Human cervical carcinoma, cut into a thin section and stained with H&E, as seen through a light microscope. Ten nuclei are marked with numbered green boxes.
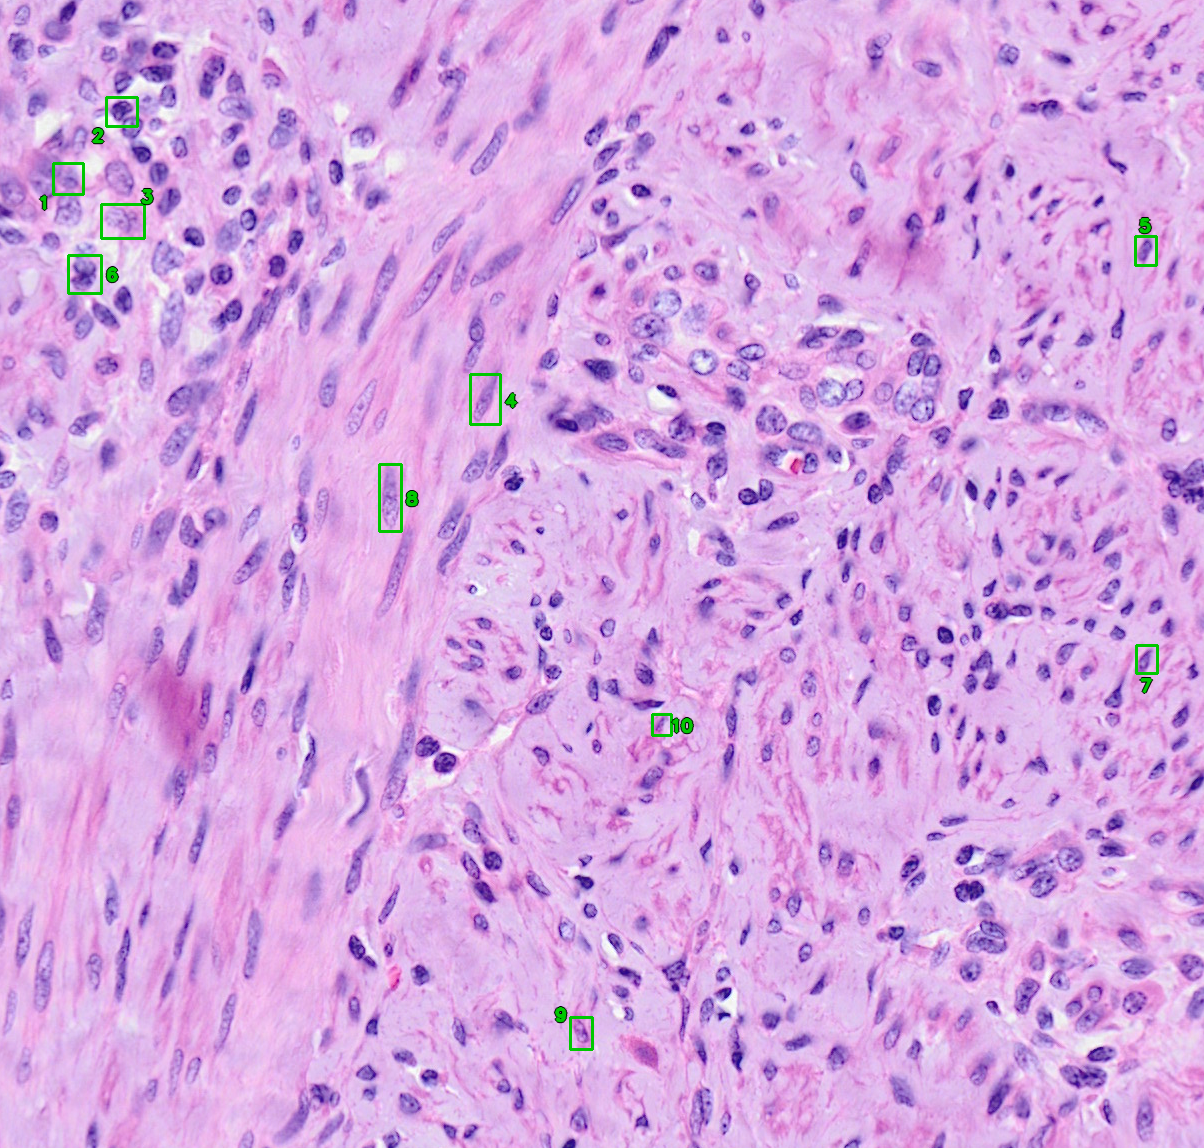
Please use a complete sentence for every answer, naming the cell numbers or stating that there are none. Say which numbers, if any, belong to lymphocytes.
The cells tagged 2 and 6 are lymphocytes in this tissue section.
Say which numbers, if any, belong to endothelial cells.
The cells referred to by the numbers 1 and 3 are endothelial cells.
